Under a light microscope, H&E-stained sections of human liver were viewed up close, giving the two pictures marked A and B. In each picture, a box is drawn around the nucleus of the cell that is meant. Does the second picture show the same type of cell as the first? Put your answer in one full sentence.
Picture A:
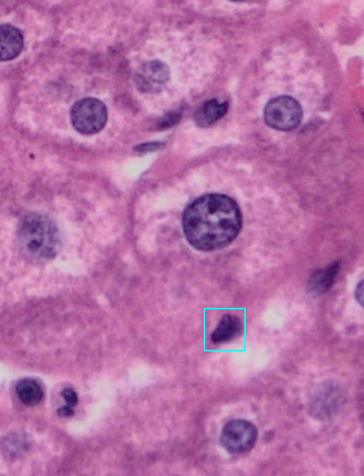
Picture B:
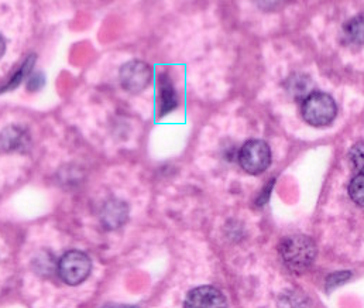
Yes, the two pictures both show “fibroblasts or stellate cells”.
